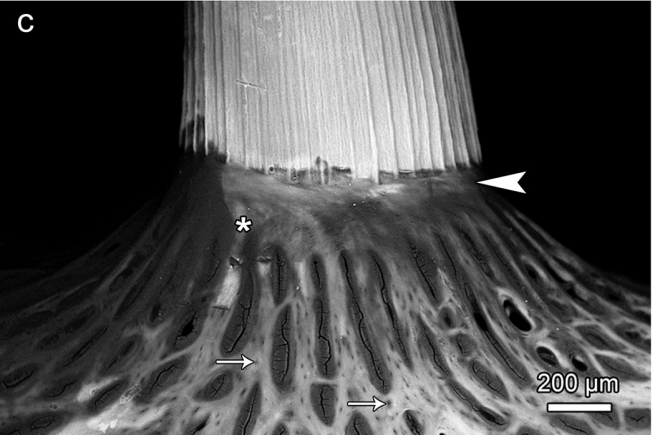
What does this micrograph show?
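The tooth at the top has a regular surface of parallel vertical ridges and grooves, and at its lower edge a narrow band rings the base where it meets the bone. Just below lies a smooth, fairly uniform zone of bone of attachment without small lacunae, which flares out into the supporting jaw bone. That lower bone forms a network of bright struts around elongated dark spaces, and many small dark osteocyte lacunae lie scattered within the struts.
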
